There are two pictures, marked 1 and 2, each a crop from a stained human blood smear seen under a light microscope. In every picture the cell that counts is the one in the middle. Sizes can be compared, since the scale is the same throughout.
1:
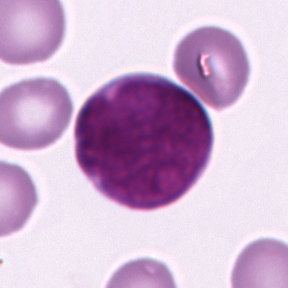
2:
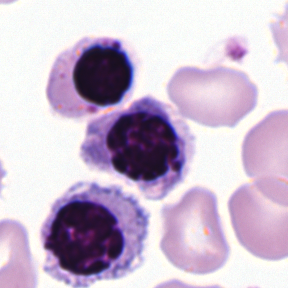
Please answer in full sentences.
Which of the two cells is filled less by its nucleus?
It is the cell in crop 2 that is filled less by its nucleus.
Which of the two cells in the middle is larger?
Crop 1 holds the larger cell; it covers about 2.5 times the area of the cell in crop 2.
